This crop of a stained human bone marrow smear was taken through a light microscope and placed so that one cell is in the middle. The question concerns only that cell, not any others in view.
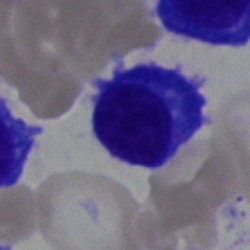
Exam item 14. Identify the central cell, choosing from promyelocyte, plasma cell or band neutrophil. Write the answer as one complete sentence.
In the middle of this smear crop is a plasma cell.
